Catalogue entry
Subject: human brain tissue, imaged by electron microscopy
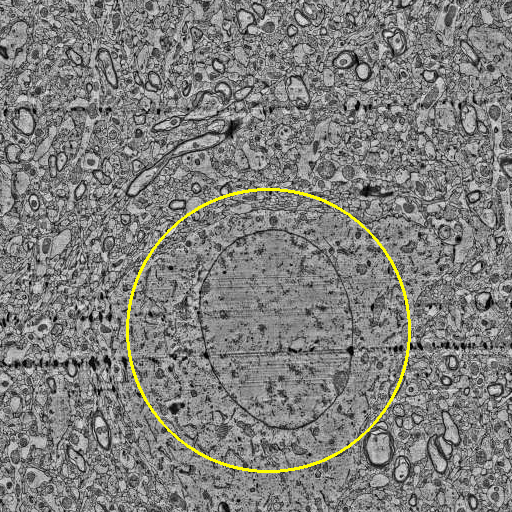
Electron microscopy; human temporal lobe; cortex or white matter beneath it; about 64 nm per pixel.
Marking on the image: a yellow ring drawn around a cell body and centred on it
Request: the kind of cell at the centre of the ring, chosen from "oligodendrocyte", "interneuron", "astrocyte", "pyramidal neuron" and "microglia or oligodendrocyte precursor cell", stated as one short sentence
The ring has a pyramidal neuron at its centre.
